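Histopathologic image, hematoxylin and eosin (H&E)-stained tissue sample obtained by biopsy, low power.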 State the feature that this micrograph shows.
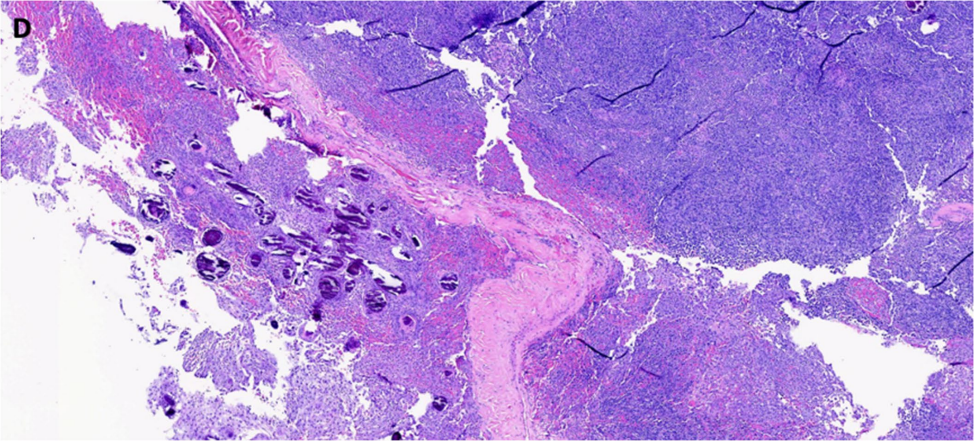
psammoma bodies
